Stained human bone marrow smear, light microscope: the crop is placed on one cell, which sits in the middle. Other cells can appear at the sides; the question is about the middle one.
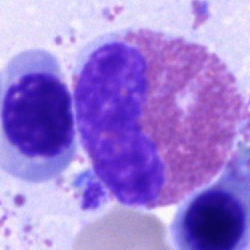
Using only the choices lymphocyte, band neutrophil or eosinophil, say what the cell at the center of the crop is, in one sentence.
At the center of the crop sits an eosinophil.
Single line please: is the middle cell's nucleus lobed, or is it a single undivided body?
The nucleus holds together as a single compact mass, round, oval or kidney-like.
